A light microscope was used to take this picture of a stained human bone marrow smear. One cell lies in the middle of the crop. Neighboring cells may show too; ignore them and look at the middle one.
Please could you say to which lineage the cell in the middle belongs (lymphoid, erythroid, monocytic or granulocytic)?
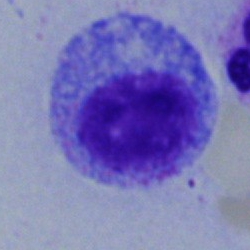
granulocytic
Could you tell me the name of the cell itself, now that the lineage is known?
myelocyte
